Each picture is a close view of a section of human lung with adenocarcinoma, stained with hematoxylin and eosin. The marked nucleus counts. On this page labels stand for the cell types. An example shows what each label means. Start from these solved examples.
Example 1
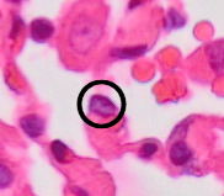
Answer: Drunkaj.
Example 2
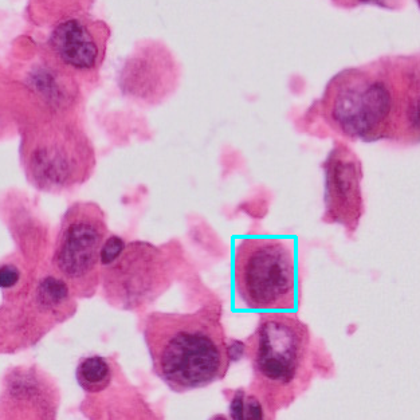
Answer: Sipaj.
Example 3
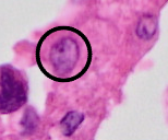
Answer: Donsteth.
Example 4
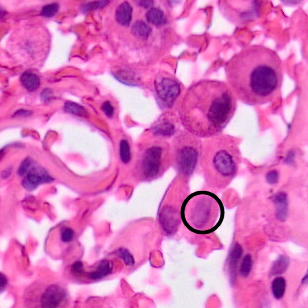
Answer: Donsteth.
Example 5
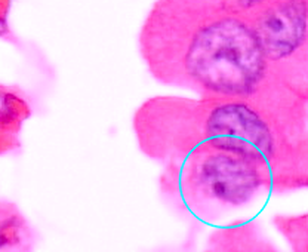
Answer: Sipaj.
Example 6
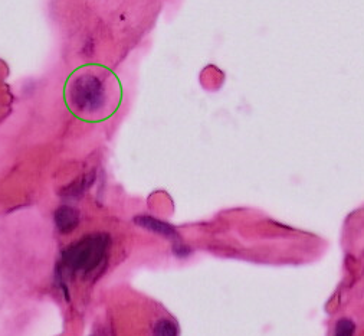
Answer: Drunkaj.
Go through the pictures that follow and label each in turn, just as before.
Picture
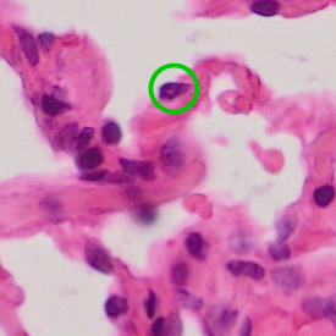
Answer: Drunkaj.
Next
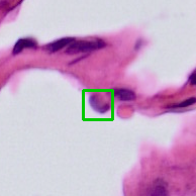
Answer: Drunkaj.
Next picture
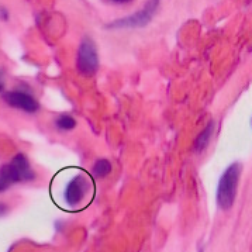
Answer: Drunkaj.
